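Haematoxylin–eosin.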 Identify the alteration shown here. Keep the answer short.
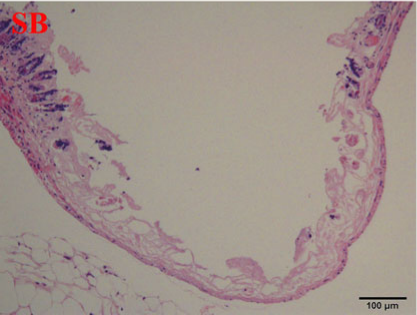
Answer: normal structure of mucosa disappeared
